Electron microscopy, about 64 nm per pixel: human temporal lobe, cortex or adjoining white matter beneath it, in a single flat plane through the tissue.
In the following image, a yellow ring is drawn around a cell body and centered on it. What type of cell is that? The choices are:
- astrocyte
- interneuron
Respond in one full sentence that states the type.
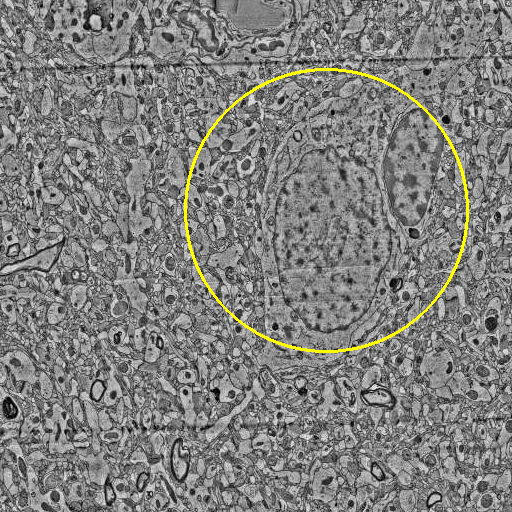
The cell at the center of the yellow ring in the image is an interneuron.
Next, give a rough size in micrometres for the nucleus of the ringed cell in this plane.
In this plane the nucleus is clearly longer than it is wide, at approximately 12 by 8 micrometres.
